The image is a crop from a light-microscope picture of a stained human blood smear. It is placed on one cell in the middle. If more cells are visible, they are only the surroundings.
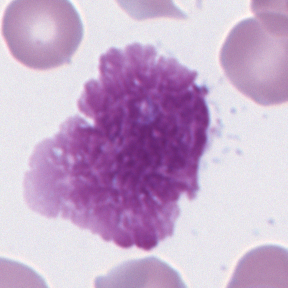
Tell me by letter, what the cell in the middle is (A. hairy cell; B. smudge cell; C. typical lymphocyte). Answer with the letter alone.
B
